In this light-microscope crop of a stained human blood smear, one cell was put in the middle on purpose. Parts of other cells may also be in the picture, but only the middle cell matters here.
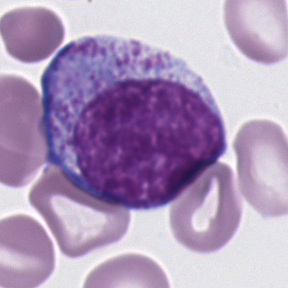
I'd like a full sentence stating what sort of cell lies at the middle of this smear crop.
The cell nearest the centre of this crop is a promyelocyte.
